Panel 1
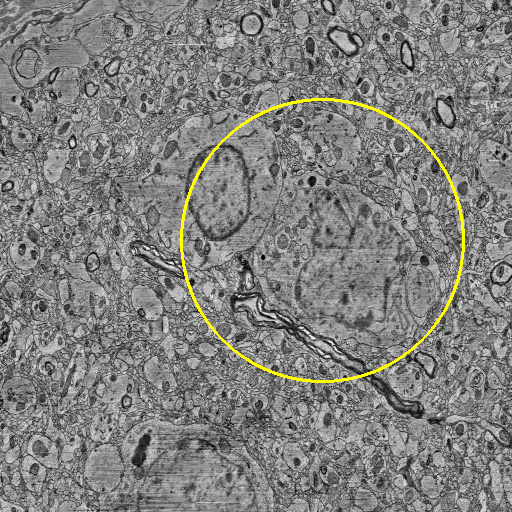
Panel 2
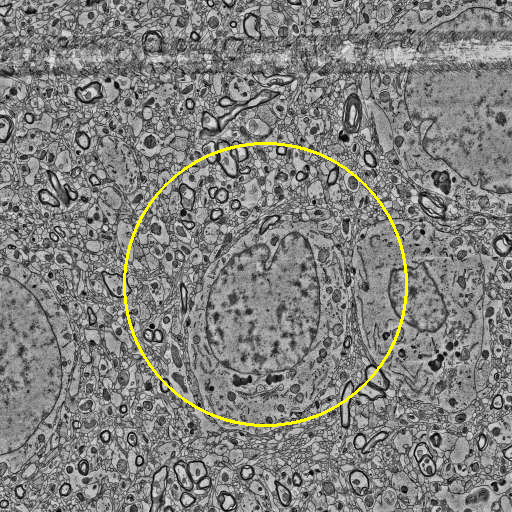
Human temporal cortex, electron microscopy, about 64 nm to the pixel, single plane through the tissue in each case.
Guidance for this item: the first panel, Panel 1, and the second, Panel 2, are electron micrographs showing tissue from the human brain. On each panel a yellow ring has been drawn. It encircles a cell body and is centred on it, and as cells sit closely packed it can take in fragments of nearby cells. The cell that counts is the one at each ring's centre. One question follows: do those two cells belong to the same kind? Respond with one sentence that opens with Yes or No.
Yes, the cells at the ring centres in Panel 1 and Panel 2 are of one kind.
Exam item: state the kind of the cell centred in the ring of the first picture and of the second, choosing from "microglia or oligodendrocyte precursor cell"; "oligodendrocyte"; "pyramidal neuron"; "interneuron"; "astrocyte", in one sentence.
In each picture the ringed cell is an interneuron.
